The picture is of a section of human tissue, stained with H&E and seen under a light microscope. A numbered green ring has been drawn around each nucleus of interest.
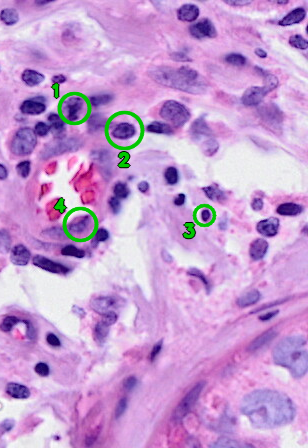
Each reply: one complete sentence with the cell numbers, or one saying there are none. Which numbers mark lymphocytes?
The cells shown with numbers 1, 2 and 3 are lymphocytes.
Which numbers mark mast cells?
The numbered cells are, without exception, not mast cells.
